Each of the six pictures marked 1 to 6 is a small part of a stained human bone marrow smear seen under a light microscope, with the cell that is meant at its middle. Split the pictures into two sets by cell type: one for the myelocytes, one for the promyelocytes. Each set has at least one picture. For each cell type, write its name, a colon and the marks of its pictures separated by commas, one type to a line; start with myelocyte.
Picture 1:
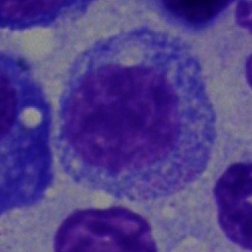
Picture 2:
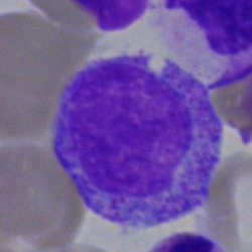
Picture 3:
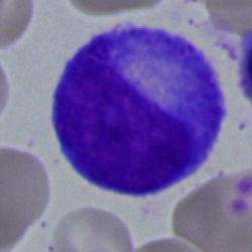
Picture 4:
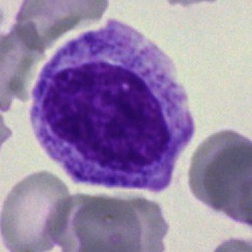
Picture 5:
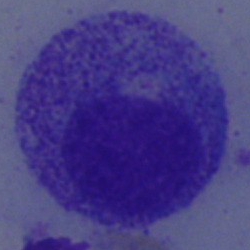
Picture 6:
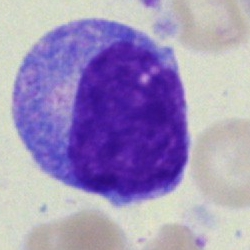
myelocyte: 4, 5
promyelocyte: 1, 2, 3, 6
